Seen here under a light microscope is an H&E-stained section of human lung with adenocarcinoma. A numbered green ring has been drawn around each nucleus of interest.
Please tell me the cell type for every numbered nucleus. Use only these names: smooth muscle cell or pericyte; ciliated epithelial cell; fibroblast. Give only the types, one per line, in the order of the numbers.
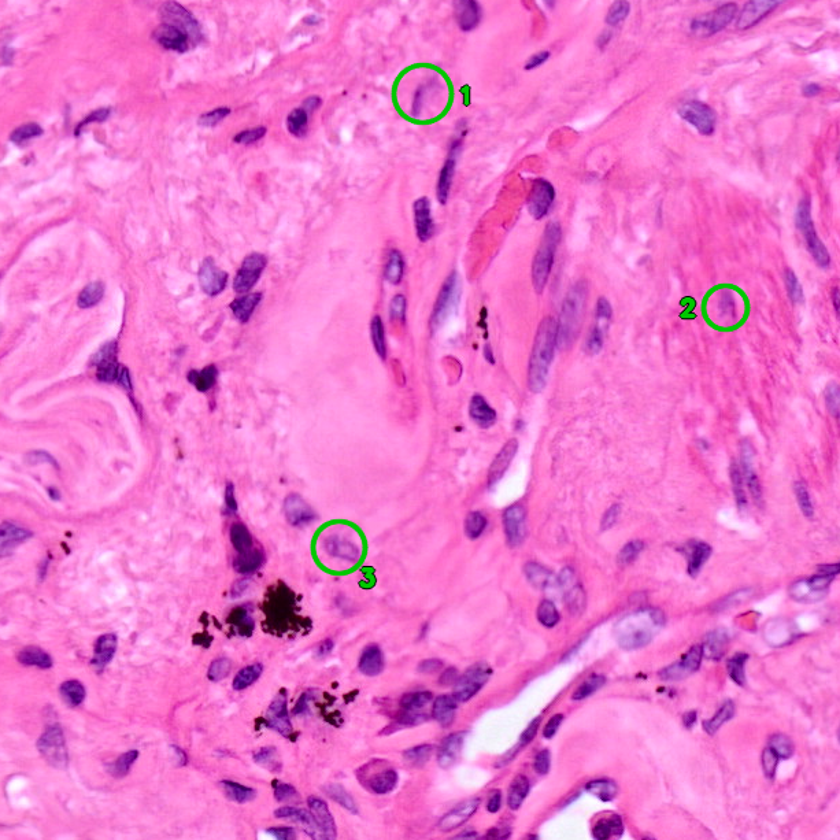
fibroblast
smooth muscle cell or pericyte
fibroblast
